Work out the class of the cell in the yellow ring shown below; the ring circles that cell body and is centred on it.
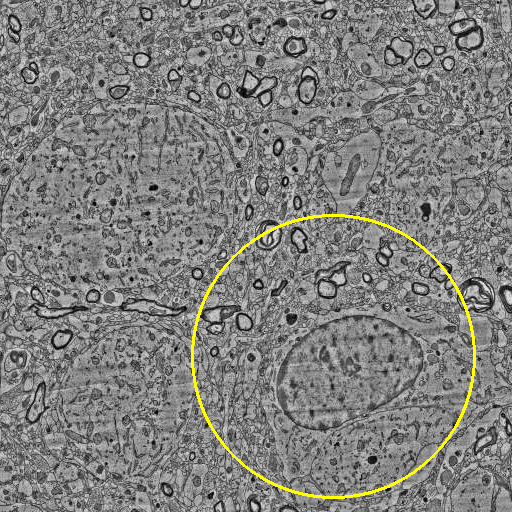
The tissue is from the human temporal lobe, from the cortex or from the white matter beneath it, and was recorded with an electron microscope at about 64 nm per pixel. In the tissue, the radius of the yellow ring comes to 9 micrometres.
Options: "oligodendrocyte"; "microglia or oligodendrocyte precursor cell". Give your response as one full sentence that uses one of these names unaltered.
The body ringed in yellow, right at the ring's centre, is that of a microglial cell or oligodendrocyte precursor cell.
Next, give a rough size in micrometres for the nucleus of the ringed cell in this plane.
The nucleus of the ringed cell is approximately 9 by 6 micrometres in this plane.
